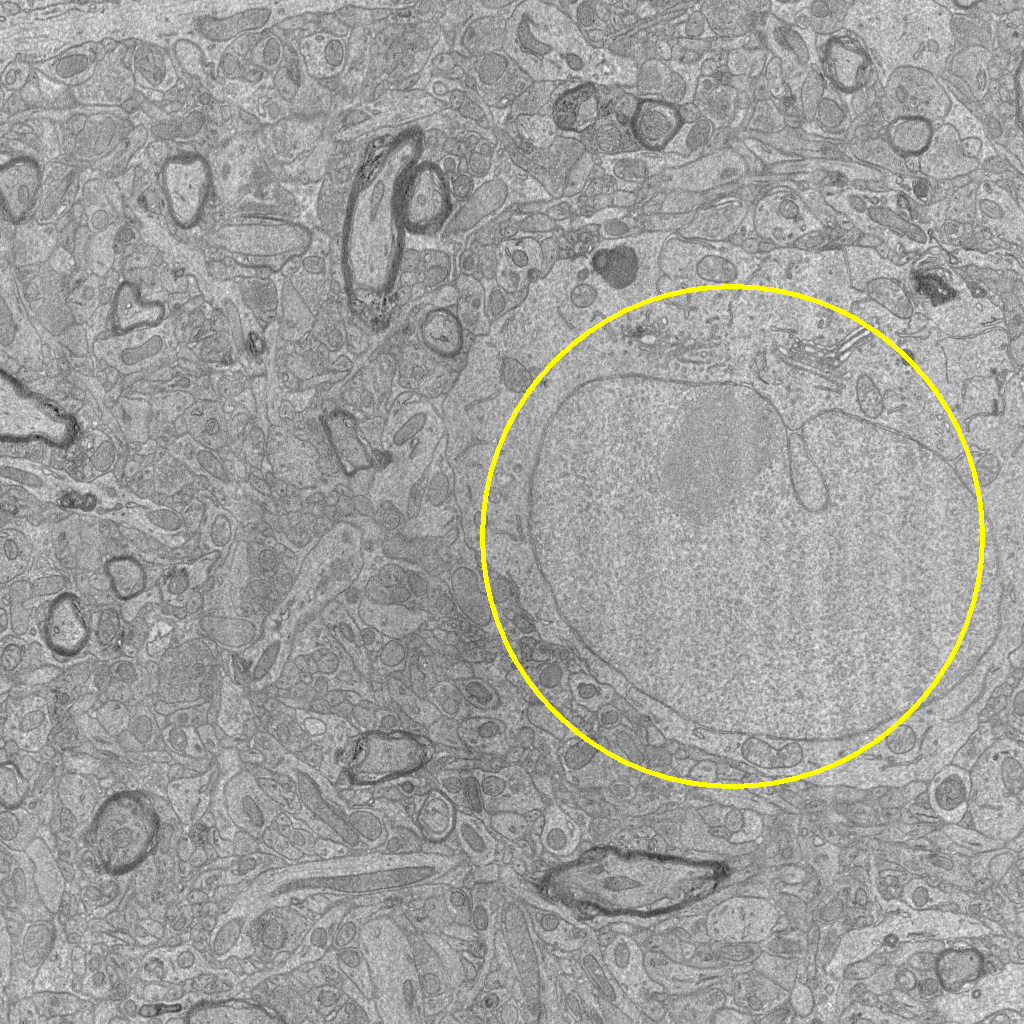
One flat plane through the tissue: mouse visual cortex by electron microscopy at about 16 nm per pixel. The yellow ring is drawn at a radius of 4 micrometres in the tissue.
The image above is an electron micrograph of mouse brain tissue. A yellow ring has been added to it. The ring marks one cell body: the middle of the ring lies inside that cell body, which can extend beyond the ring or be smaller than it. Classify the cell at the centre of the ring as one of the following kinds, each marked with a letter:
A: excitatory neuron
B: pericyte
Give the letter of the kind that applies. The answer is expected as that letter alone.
A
